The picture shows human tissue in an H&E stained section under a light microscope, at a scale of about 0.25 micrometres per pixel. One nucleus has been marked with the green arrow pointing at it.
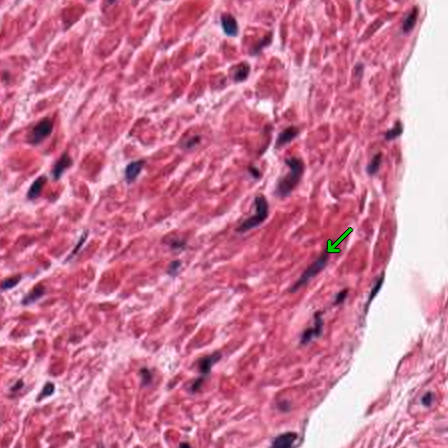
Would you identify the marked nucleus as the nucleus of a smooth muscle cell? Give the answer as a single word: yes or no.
yes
